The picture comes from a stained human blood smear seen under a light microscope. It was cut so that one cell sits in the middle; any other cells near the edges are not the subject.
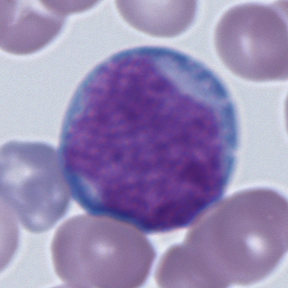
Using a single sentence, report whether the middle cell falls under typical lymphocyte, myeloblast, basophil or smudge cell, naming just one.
In the crop, the cell of interest at the centre is a myeloblast.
